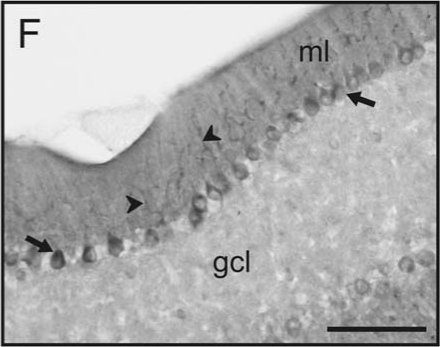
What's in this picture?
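Cerebellar cortex with a single row of large, darkly stained Purkinje cell bodies lying at the border between the molecular layer and the granule cell layer. The molecular layer above is densely and evenly stained, and thin dark Purkinje cell dendrites can be followed rising into it from the cell bodies. The granule cell layer below is pale and almost unstained.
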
